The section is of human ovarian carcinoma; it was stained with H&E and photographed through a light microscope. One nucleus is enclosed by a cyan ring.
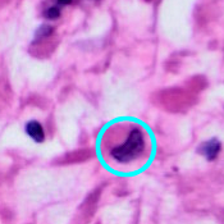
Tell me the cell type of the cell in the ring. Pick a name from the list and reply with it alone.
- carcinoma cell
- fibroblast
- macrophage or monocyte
macrophage or monocyte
